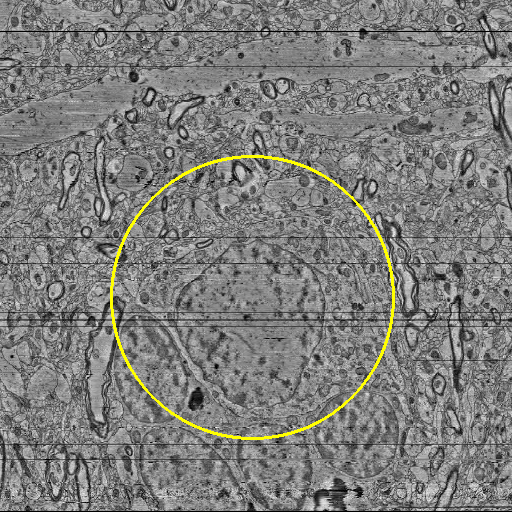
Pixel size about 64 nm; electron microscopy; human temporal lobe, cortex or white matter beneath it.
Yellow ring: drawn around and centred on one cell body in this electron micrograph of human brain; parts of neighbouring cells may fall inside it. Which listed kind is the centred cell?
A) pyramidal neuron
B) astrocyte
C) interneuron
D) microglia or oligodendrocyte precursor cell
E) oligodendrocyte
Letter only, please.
C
